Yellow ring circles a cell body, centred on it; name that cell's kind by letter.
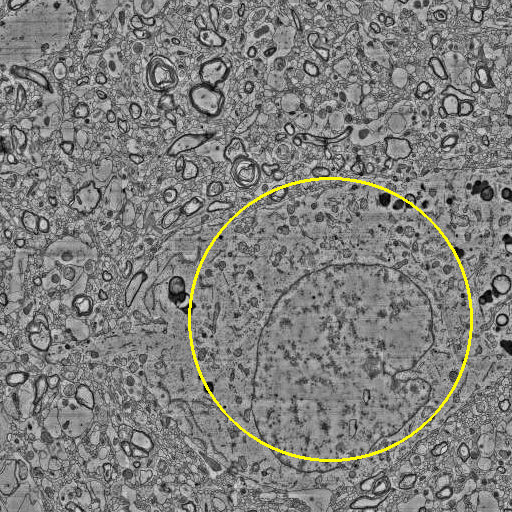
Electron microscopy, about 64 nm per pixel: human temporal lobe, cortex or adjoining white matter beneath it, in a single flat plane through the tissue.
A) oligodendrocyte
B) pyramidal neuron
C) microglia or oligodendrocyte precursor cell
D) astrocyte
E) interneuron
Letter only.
B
